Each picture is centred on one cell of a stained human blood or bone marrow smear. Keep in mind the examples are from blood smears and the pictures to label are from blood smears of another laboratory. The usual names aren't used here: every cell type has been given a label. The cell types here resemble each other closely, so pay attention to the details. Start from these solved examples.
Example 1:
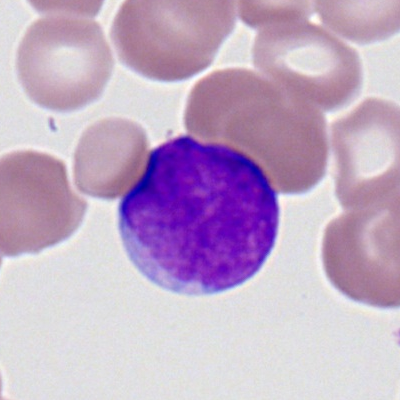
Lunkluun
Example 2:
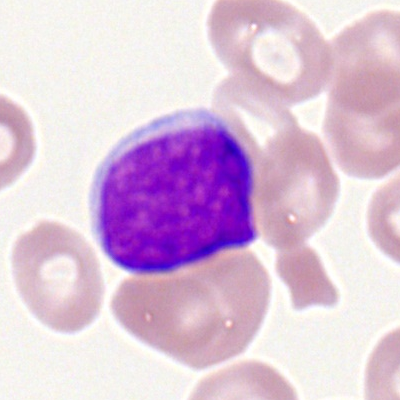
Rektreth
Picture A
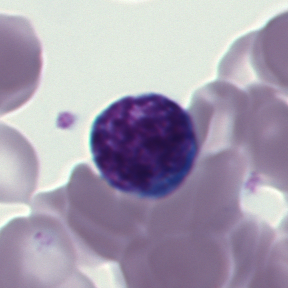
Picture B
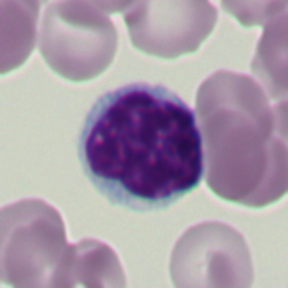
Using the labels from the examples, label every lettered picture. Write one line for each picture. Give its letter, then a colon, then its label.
A: Rektreth
B: Rektreth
